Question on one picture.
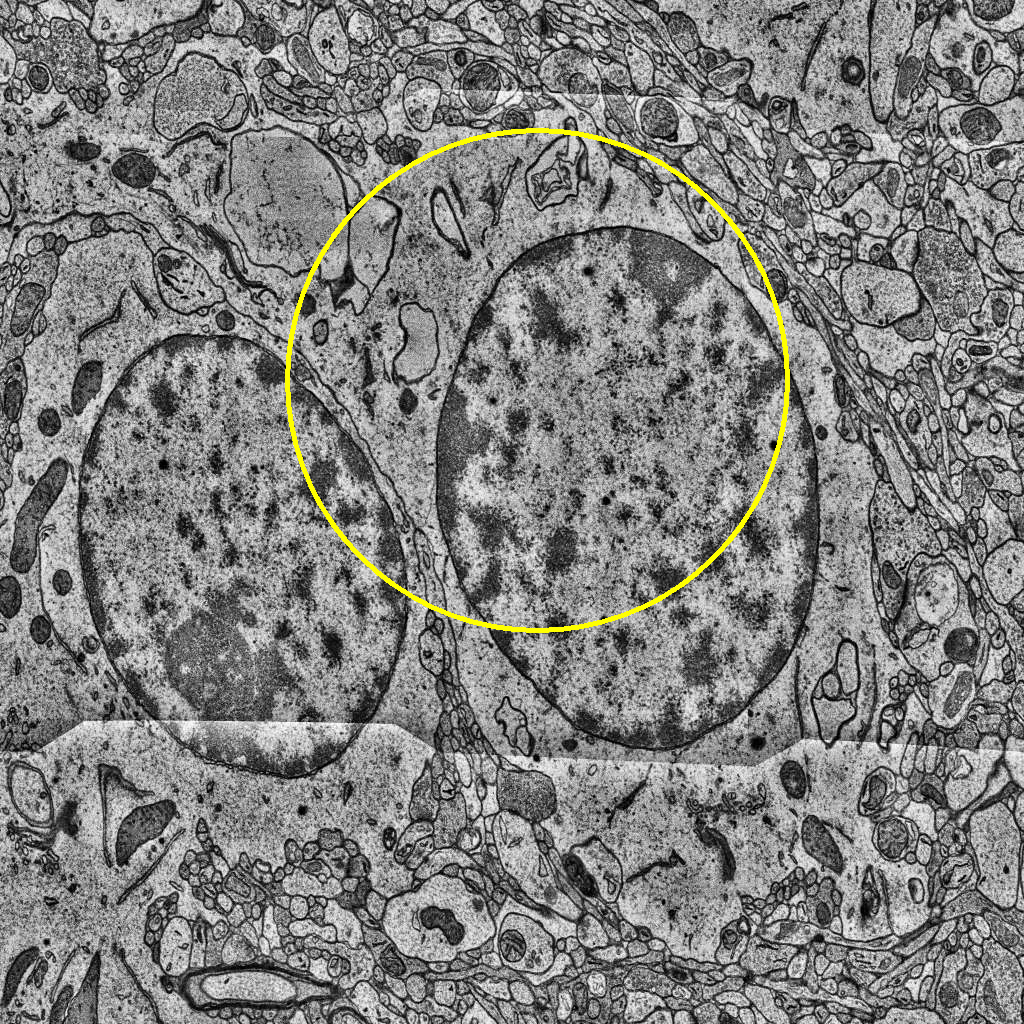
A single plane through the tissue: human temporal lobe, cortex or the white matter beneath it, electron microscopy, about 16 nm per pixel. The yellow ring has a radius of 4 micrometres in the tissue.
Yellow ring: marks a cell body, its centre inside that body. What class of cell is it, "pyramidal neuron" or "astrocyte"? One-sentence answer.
This is an astrocyte, the cell at the ring's centre.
